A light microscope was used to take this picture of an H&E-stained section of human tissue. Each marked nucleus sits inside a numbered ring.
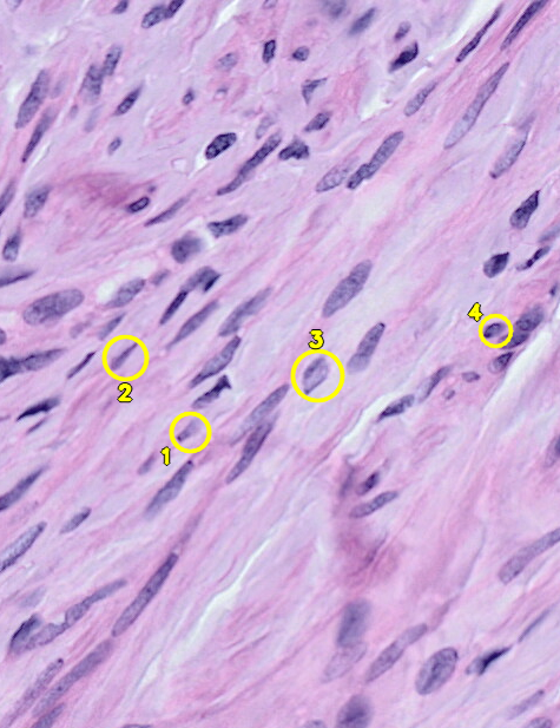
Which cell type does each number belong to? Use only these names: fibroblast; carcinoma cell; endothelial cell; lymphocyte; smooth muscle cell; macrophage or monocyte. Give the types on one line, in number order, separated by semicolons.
smooth muscle cell; smooth muscle cell; fibroblast; smooth muscle cell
